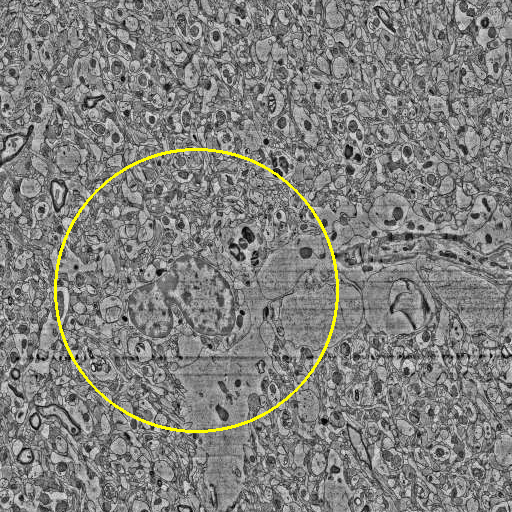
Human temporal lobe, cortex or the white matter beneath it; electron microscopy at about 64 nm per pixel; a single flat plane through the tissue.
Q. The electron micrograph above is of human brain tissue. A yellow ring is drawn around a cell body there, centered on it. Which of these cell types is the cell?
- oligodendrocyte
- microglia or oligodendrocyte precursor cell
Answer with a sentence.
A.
The cell under the ring's center is a microglial cell or oligodendrocyte precursor cell.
